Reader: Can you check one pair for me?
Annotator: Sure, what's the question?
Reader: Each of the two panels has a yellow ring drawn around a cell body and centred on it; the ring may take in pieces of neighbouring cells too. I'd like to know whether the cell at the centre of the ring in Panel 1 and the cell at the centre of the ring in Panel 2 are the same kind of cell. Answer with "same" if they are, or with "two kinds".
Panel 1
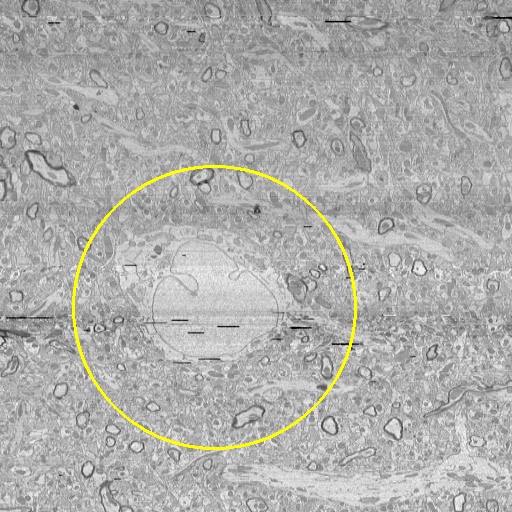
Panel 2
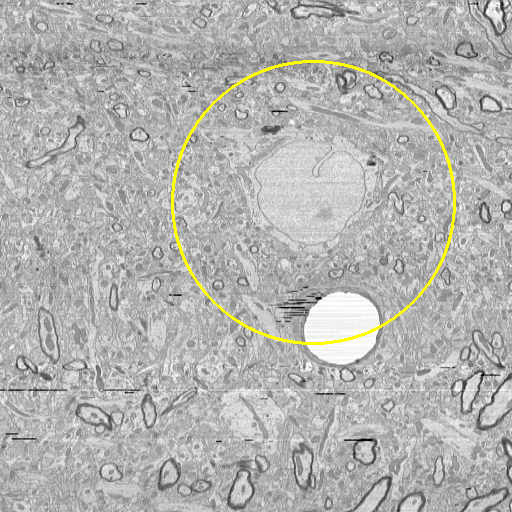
same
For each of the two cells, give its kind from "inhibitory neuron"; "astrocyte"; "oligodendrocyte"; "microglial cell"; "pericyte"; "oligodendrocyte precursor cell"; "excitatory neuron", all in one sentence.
Each one of the two ringed cells is an excitatory neuron.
